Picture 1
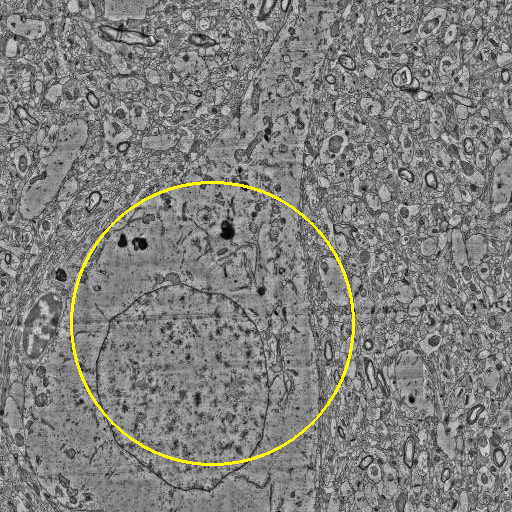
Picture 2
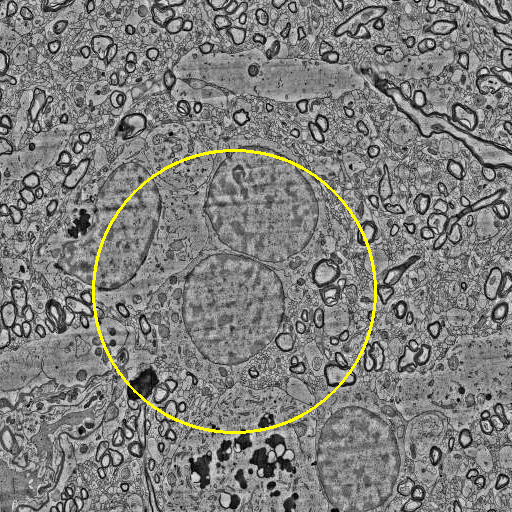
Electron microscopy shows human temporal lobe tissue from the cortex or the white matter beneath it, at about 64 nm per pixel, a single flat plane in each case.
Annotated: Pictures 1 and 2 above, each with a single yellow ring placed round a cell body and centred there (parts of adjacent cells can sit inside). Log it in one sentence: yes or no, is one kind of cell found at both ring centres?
No, the ring centres of the two pictures hold cells of two kinds.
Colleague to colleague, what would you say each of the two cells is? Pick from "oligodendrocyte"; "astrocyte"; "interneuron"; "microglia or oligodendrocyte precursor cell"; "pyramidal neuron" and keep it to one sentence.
The cell in the first picture is a pyramidal neuron; the second picture's cell is an oligodendrocyte.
